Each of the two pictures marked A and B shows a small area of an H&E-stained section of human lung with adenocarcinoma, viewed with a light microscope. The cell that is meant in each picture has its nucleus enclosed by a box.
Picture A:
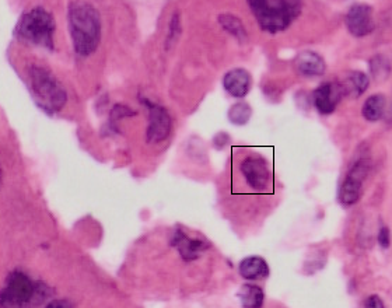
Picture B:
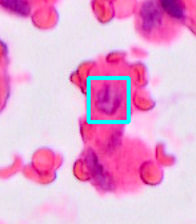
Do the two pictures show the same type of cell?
yes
